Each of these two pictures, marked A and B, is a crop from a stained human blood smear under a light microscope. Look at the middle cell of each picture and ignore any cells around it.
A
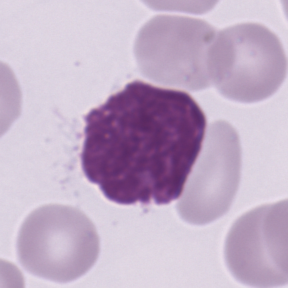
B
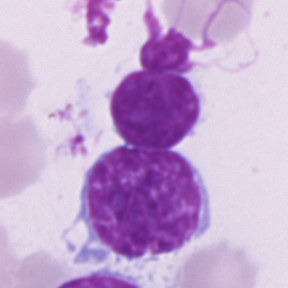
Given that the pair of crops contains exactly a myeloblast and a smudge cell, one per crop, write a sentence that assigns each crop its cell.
Crop A is a smudge cell, while a myeloblast is the cell in crop B.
